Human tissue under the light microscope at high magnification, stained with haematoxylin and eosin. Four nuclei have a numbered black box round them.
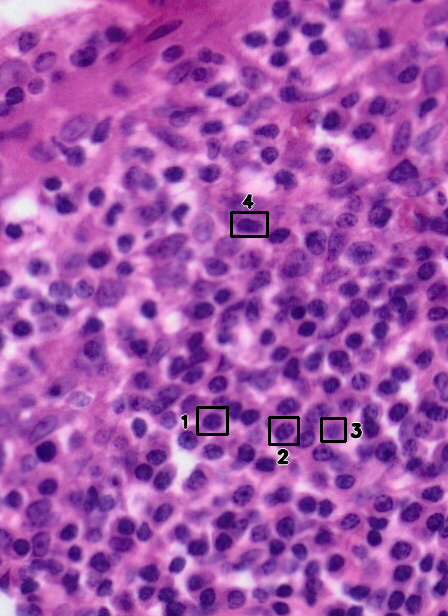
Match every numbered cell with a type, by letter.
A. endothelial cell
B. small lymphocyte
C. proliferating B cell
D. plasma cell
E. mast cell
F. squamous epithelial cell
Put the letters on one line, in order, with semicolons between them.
D; D; D; F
